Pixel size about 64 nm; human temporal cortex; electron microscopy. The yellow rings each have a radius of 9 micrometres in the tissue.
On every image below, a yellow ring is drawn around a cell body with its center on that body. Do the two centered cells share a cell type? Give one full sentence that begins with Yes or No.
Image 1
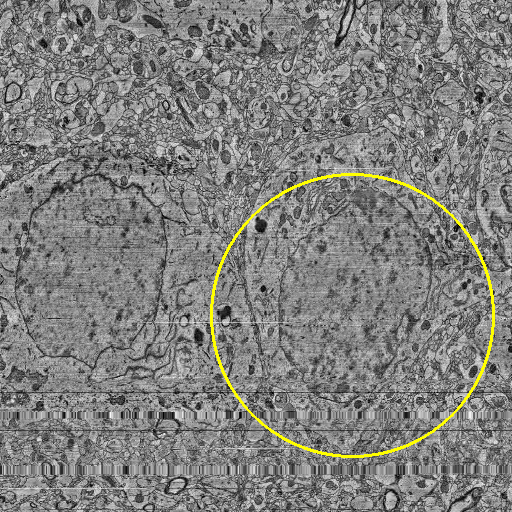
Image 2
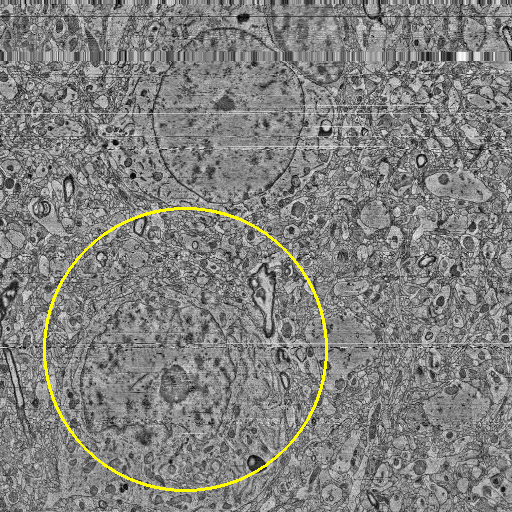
Yes, the centered cells in the two images are of a single cell type.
